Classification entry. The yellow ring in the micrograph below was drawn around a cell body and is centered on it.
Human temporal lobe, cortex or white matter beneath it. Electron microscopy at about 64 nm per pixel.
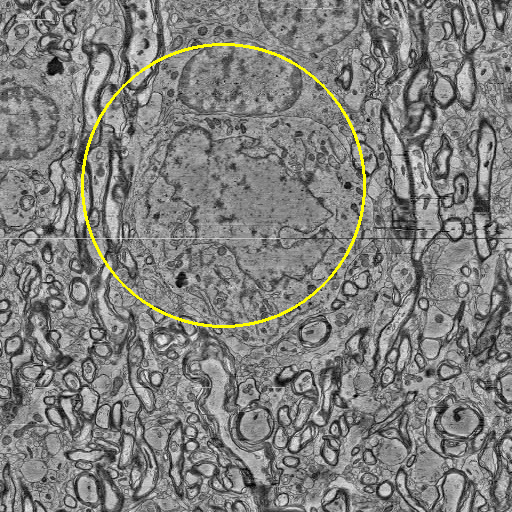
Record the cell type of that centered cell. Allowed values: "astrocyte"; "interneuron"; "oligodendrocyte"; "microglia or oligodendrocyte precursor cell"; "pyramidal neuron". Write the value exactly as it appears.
interneuron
